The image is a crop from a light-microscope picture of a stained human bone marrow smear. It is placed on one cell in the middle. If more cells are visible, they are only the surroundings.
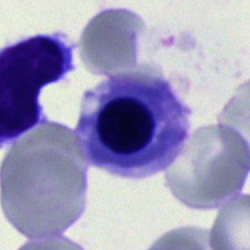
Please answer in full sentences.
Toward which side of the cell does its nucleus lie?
The nucleus is pushed toward the left of the cell.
